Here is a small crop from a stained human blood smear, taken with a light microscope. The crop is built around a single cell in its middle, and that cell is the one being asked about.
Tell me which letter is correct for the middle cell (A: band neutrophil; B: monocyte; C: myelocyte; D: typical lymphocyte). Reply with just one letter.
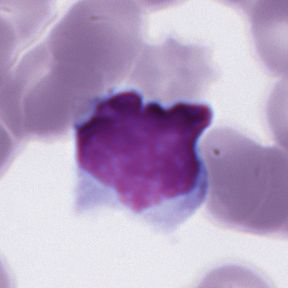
D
